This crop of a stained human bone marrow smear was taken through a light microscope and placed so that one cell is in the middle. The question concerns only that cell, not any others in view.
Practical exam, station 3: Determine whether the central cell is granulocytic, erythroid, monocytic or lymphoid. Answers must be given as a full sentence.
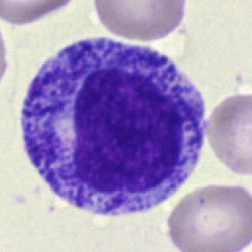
The cell sitting in the middle of this crop is of the granulocytic line.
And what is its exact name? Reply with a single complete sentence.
Here the centrally located cell is a myelocyte.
